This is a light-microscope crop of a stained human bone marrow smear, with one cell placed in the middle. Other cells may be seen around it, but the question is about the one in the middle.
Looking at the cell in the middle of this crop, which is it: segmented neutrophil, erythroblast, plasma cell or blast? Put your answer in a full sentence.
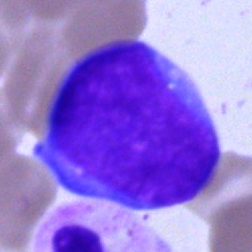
The cell at the central position in this crop is a blast.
